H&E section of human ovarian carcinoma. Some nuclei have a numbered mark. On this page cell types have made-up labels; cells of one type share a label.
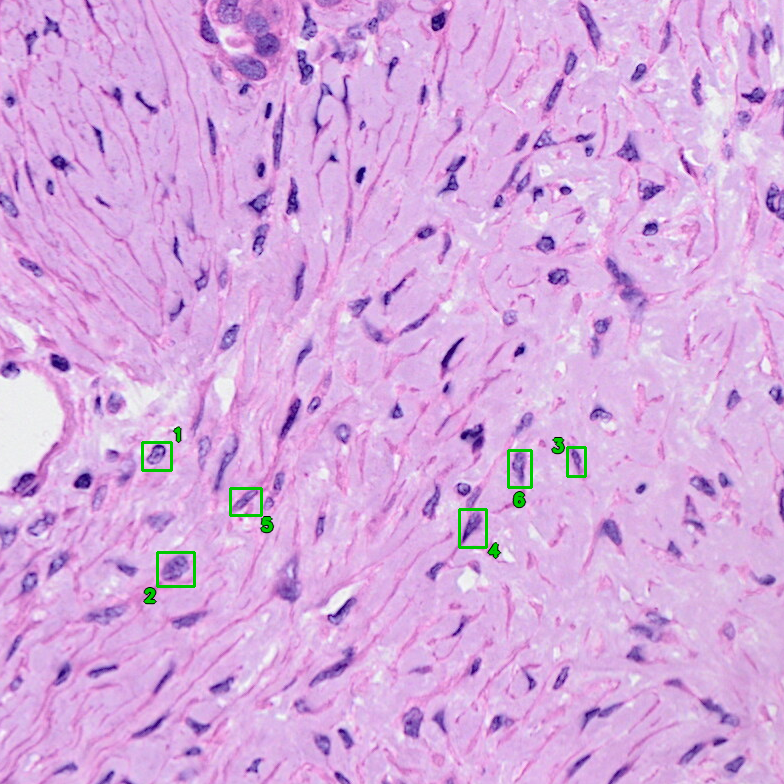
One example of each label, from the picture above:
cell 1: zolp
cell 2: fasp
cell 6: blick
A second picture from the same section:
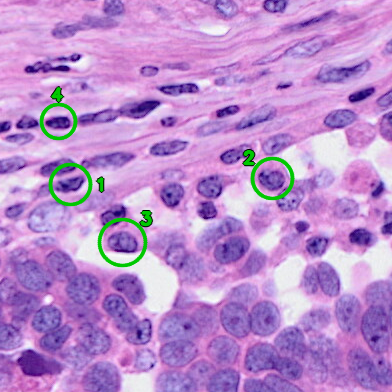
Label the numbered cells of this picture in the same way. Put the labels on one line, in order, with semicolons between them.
zolp; fasp; fasp; zolp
